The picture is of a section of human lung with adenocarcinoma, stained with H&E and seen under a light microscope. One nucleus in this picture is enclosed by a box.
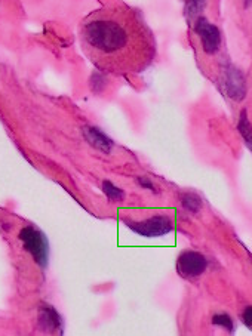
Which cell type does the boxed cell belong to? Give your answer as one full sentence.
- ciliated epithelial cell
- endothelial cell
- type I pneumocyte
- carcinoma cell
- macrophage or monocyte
Within the stained tissue, the boxed cell is a type I pneumocyte.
